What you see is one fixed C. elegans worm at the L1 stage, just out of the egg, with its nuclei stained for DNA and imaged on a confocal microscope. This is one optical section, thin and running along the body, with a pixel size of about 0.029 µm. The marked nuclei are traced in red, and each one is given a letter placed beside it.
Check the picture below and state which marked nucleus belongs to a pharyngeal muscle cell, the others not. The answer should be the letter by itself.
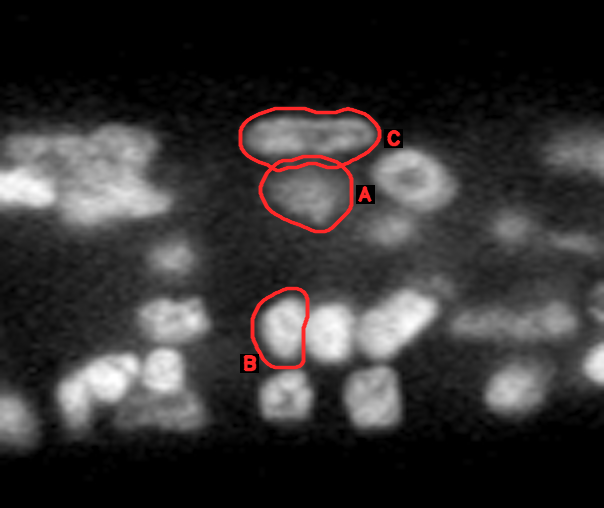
A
